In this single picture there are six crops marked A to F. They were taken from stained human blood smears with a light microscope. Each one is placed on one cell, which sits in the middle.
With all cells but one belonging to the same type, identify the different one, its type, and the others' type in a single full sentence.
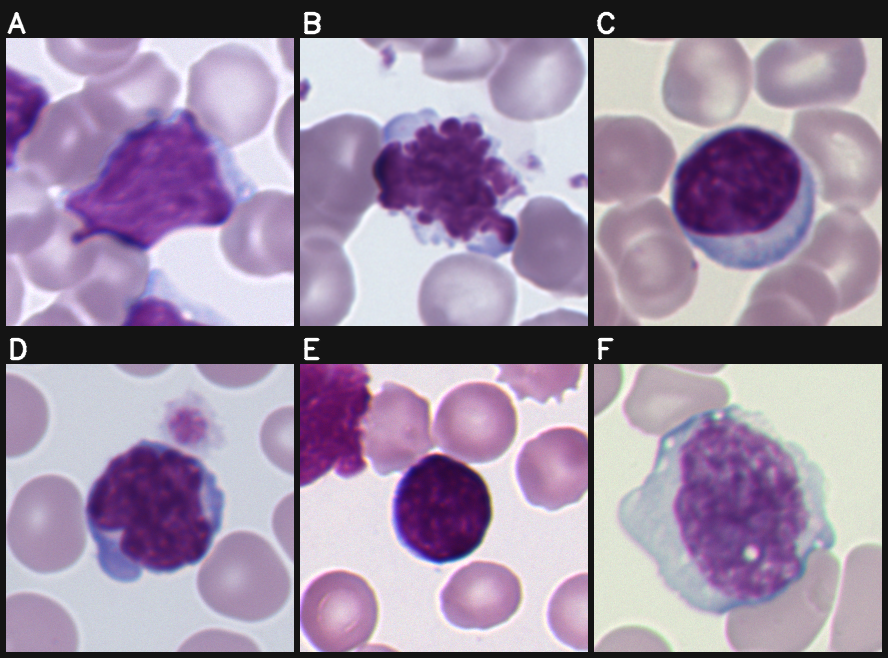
In contrast to the other crops, all of which show typical lymphocytes, crop F shows a myeloblast.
